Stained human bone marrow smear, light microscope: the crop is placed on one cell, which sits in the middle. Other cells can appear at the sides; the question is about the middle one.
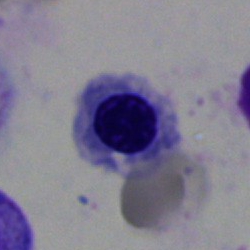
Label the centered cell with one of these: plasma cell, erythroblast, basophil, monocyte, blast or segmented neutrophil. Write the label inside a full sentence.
The cell at the central position in this crop is an erythroblast.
